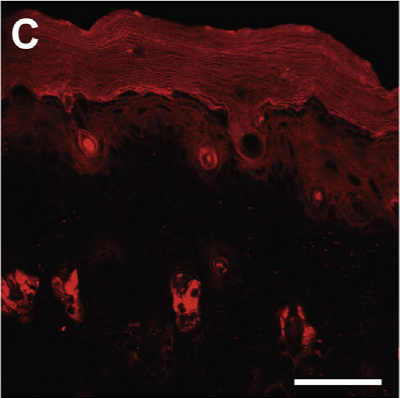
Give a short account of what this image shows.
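The stratum corneum forms a broad, uniform band of many thin, parallel, wavy red lamellae stacked regularly over the whole width. Beneath it the living epidermal layers are dark with faint red outlines, and a few small round profiles with bright red rims cut through the upper epidermis.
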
